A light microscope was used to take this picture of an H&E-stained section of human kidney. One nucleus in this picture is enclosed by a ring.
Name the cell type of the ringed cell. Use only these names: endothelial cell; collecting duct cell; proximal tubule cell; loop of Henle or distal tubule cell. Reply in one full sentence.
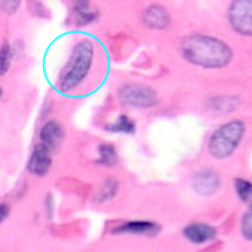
In cellular terms, the ringed cell is a collecting duct cell.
